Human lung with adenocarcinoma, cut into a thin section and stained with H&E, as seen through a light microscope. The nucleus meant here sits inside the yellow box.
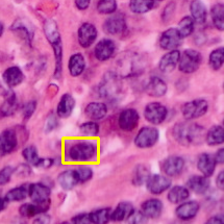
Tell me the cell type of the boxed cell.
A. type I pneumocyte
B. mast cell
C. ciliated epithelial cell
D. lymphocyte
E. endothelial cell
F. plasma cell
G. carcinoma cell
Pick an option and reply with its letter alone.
F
